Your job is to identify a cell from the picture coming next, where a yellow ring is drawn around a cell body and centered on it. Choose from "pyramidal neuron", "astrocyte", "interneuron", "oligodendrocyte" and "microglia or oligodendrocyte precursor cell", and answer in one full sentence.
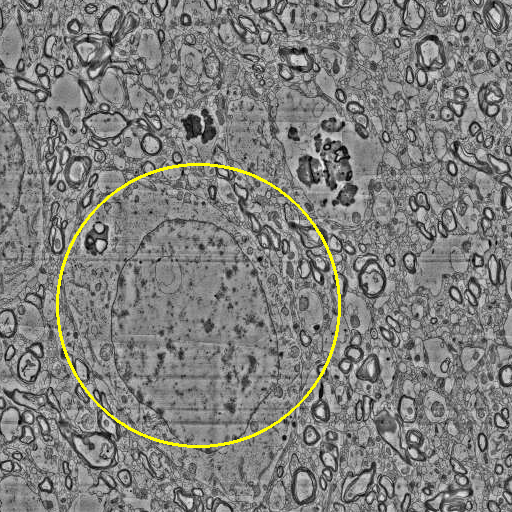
Centered in the yellow ring of the picture is the body of a pyramidal neuron.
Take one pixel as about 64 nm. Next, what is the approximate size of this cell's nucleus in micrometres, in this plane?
In this plane the nucleus measures roughly 15 by 11 micrometers.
